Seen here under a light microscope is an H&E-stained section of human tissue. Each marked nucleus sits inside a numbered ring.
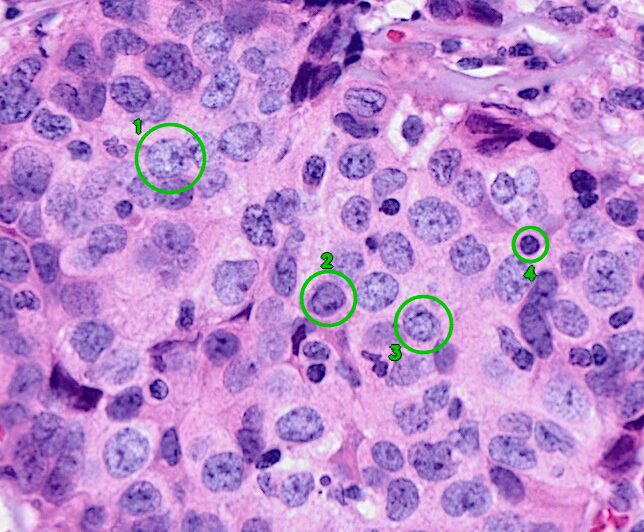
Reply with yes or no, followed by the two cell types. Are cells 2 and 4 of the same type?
No, cell 2 is a carcinoma cell, while cell 4 is a lymphocyte.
